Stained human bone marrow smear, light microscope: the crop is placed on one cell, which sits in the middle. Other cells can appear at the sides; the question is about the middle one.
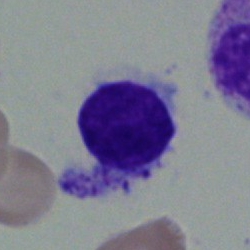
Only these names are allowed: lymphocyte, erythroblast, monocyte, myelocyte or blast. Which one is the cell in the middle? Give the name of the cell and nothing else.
lymphocyte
